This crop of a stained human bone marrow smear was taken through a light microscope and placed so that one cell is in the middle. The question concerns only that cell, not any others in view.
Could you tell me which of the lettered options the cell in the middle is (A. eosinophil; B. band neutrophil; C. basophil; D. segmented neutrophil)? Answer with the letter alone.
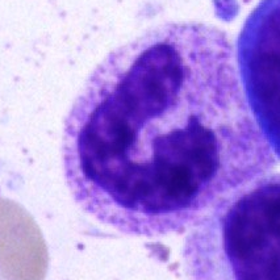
B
